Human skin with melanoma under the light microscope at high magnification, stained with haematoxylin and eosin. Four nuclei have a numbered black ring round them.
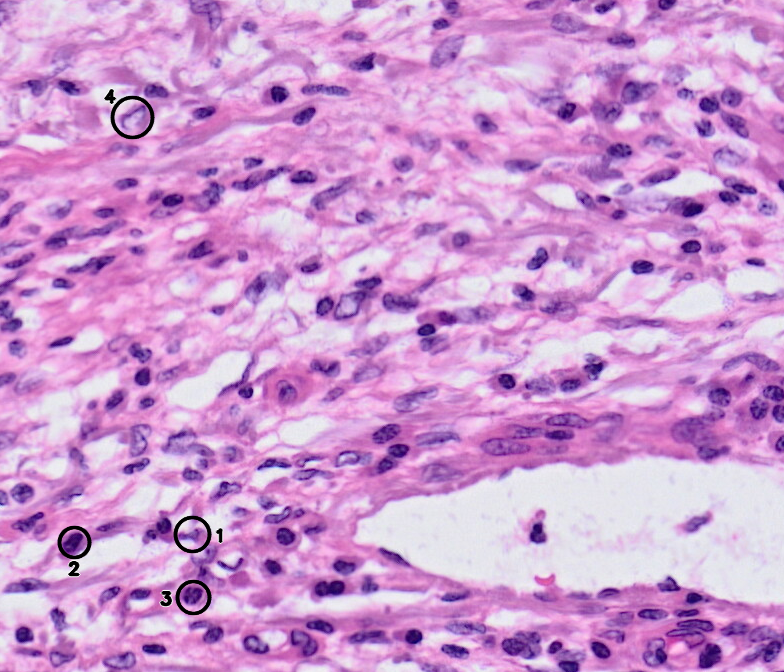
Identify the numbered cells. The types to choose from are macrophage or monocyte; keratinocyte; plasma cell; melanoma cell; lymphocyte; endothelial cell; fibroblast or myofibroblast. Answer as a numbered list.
1. fibroblast or myofibroblast
2. plasma cell
3. plasma cell
4. fibroblast or myofibroblast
